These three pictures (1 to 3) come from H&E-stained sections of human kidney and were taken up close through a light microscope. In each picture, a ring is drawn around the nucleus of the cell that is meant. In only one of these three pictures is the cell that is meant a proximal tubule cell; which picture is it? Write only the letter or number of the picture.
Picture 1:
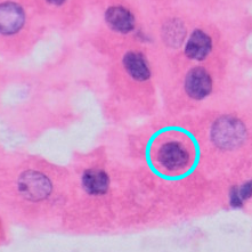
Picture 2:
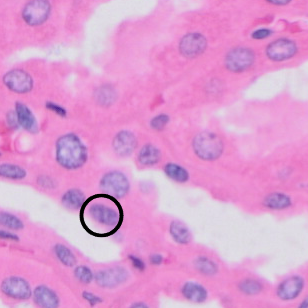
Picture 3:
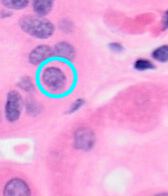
1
